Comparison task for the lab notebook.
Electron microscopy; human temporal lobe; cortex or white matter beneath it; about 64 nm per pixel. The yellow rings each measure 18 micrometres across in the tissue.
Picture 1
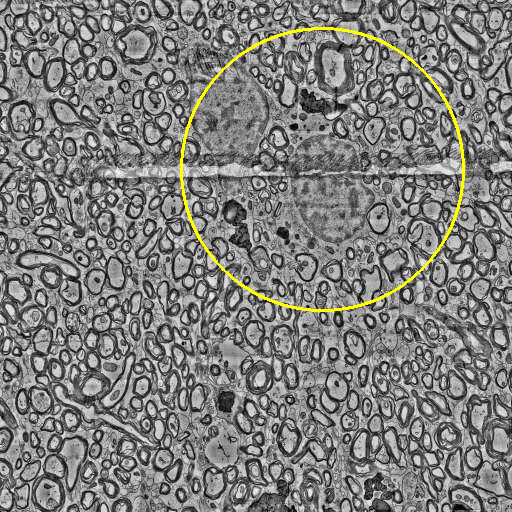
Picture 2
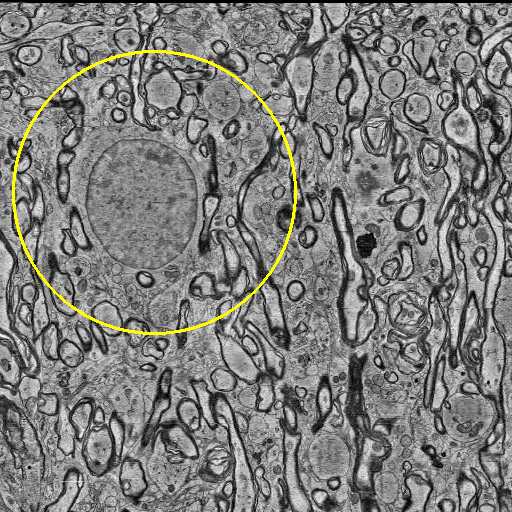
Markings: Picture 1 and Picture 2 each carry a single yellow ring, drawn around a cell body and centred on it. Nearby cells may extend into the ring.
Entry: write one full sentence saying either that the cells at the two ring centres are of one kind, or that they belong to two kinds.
The cells sitting at the ring centres in Picture 1 and Picture 2 are of one kind.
